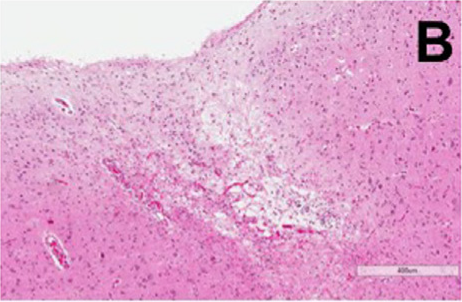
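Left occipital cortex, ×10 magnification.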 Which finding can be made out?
Cortical microinfarct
